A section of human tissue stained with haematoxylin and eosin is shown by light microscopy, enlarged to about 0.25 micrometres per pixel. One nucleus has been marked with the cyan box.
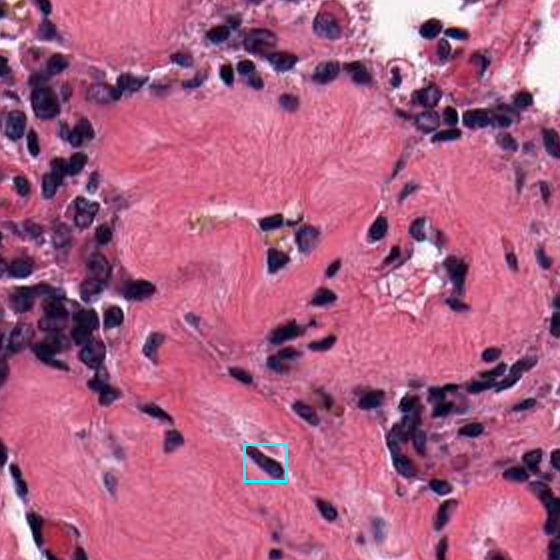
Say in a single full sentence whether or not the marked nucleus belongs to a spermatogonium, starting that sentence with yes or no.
No, that the marked nucleus belongs to a spermatogonium does not hold; it belongs to a supporting cell.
